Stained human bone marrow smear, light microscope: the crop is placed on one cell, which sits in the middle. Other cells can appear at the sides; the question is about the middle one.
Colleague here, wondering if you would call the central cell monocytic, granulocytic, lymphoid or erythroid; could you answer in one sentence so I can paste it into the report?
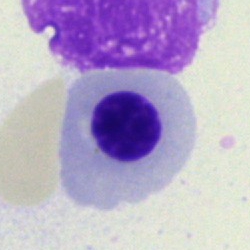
The cell at the center of the crop derives from the erythroid lineage.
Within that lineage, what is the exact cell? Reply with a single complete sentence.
The single cell at the center of the crop is an erythroblast.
